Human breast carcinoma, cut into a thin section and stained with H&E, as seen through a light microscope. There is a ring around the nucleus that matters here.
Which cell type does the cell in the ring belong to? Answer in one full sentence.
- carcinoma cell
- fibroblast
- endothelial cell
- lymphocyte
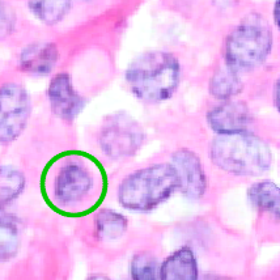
Speaking plainly, the cell in the ring is nothing other than a carcinoma cell.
